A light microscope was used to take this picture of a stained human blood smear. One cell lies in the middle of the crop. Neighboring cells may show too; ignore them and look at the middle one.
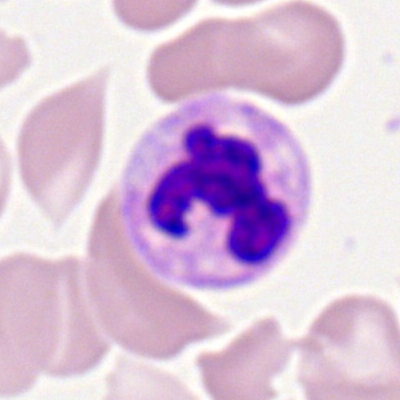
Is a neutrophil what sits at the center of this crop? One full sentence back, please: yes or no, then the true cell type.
Yes, a neutrophil is what the central cell is.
